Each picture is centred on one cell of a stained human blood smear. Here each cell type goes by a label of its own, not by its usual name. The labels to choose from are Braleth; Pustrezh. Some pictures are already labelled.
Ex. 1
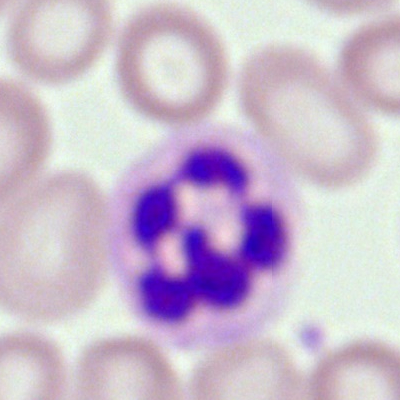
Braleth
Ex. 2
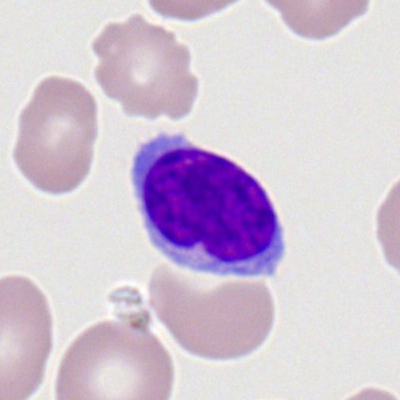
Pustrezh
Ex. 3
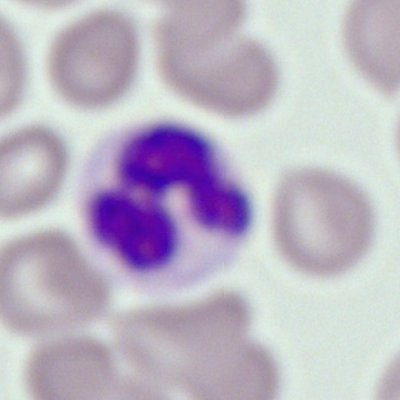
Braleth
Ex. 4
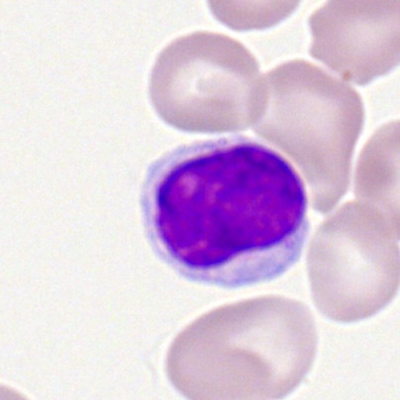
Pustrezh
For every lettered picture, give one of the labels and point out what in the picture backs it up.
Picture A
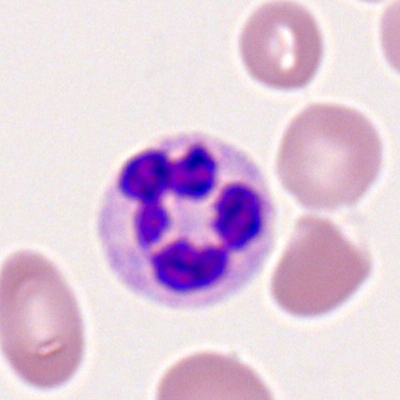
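Braleth. Reason: The nucleus is divided into five separate lobes.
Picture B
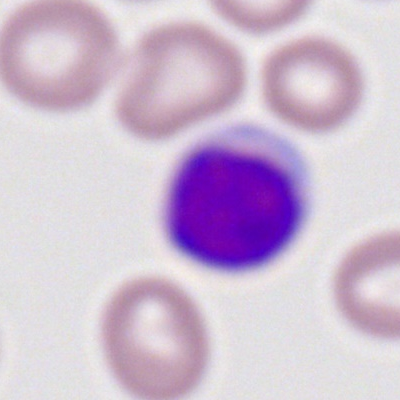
Pustrezh. Reason: The cytoplasm forms only a thin rim, widest at the upper right of the cell.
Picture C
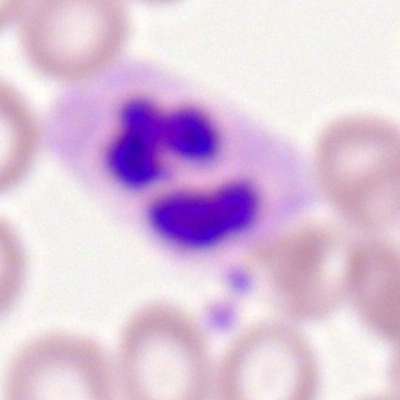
Braleth. Reason: Abundant pale lilac-pink cytoplasm surrounds the nucleus.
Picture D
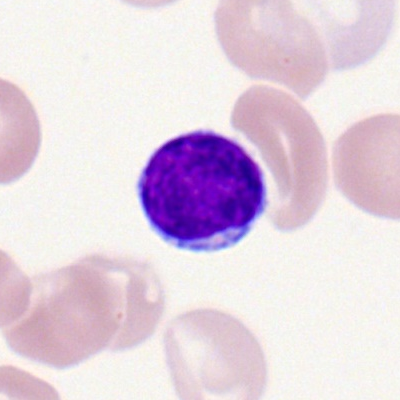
Pustrezh. Reason: The cytoplasm is a scant pale blue rim, seen most clearly along the lower edge.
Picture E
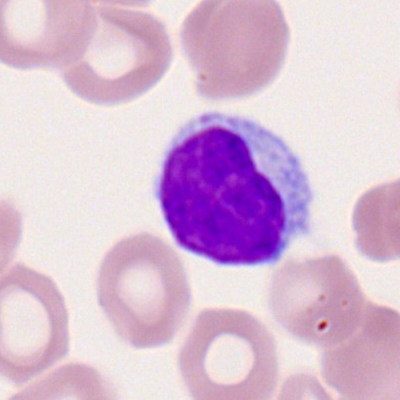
Pustrezh. Reason: The nucleus fills most of the cell, leaving a pale blue cytoplasmic rim that is widest on the right.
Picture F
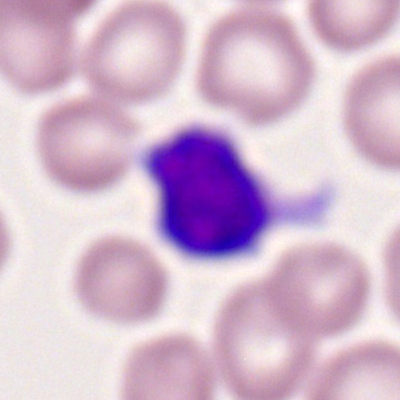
Pustrezh. Reason: The nucleus fills almost the whole cell body.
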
